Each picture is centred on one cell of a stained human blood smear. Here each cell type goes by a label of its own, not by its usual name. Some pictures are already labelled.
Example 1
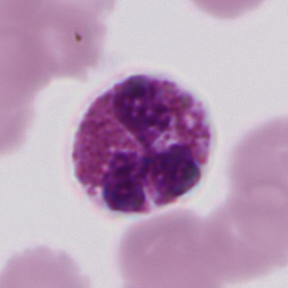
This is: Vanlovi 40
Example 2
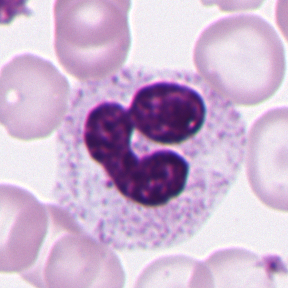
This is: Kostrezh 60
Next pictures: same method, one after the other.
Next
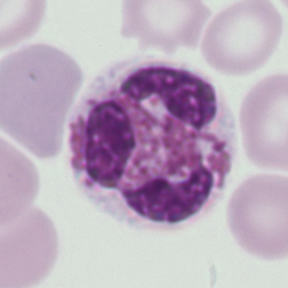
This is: Vanlovi 40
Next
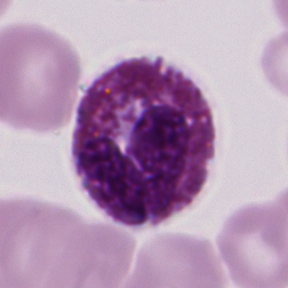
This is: Vanlovi 40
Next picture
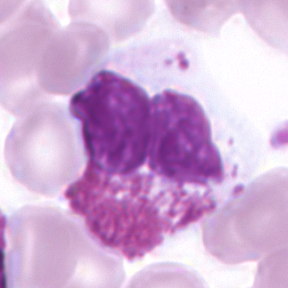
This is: Vanlovi 40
